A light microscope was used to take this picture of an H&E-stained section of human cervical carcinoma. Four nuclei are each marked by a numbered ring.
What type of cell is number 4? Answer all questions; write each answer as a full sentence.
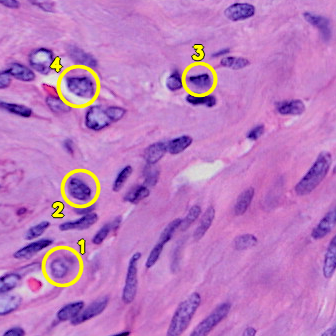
The cell bearing label 4 corresponds to an endothelial cell.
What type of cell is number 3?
The identity of cell 3 is that of a fibroblast.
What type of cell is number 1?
The cell indicated with the number 1 is classed as an endothelial cell.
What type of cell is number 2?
Cell 2 should be recorded as a fibroblast.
